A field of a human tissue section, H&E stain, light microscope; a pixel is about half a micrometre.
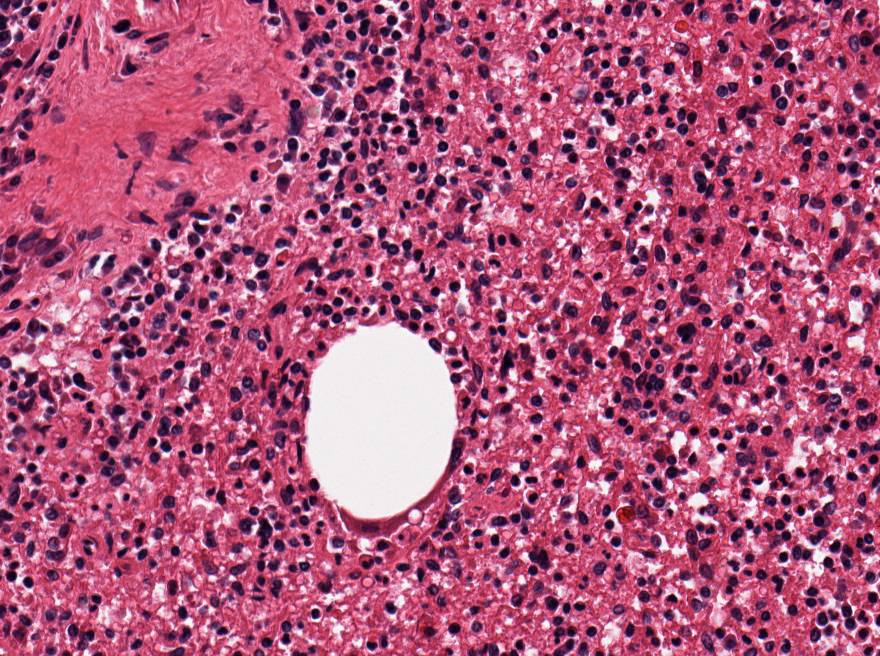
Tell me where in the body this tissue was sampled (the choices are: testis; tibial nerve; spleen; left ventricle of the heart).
spleen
